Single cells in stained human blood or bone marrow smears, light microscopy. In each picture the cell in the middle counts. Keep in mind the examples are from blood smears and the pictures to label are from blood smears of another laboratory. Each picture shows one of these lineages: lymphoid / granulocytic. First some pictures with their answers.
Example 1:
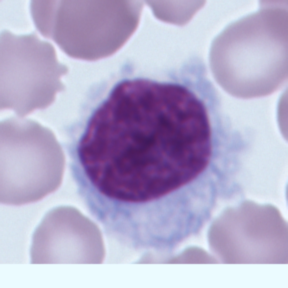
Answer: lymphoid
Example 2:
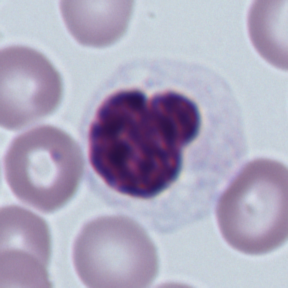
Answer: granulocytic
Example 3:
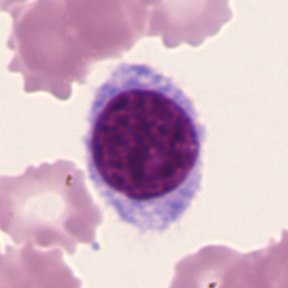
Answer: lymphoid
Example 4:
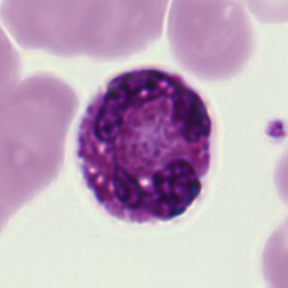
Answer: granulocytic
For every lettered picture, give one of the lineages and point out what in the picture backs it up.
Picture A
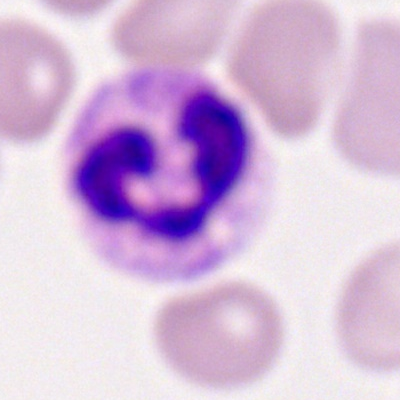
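Label: granulocytic. The nuclear lobes curve around a pale central area of cytoplasm.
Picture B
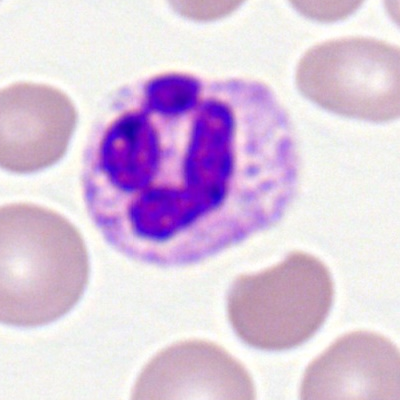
Label: granulocytic. The nucleus is split into about four separate lobes.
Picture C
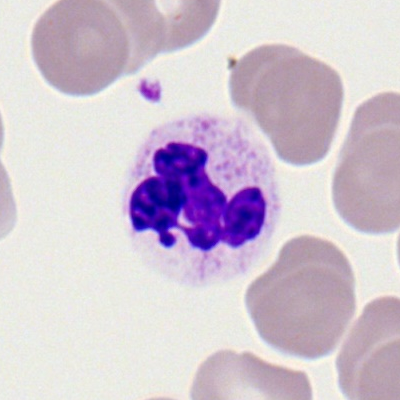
Label: granulocytic. The nucleus is divided into several separate lobes.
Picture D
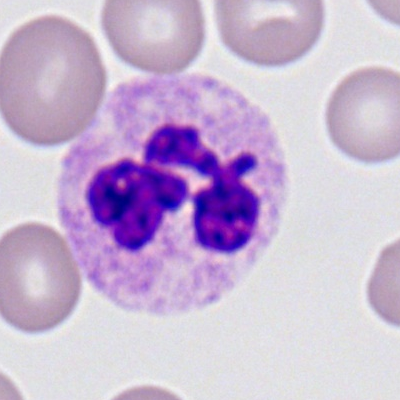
Label: granulocytic. The cytoplasm is plentiful and pale pinkish-lilac.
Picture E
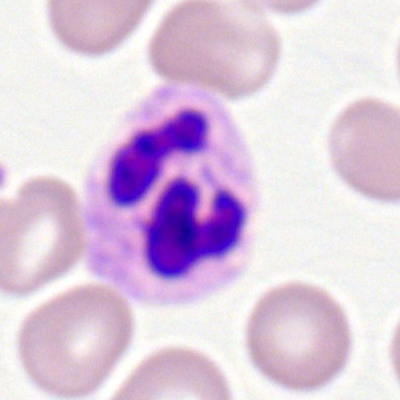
Label: granulocytic. The nucleus is divided into several separate lobes.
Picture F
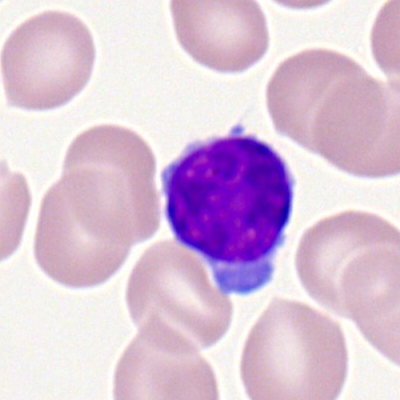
Label: lymphoid. The cytoplasm is scant.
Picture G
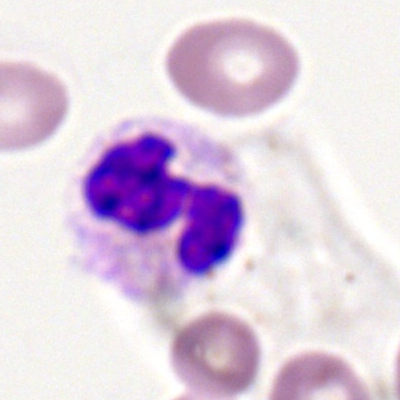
Label: granulocytic. The nucleus is divided into two lobes.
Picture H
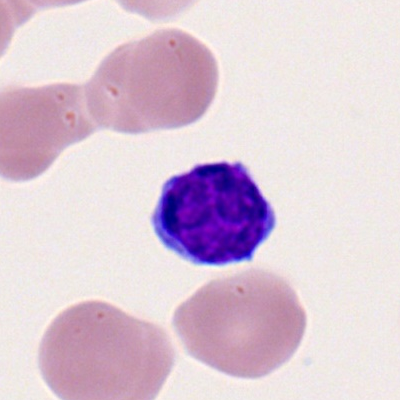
Label: lymphoid. The nucleus fills almost the whole cell, leaving only a very thin rim of cytoplasm.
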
